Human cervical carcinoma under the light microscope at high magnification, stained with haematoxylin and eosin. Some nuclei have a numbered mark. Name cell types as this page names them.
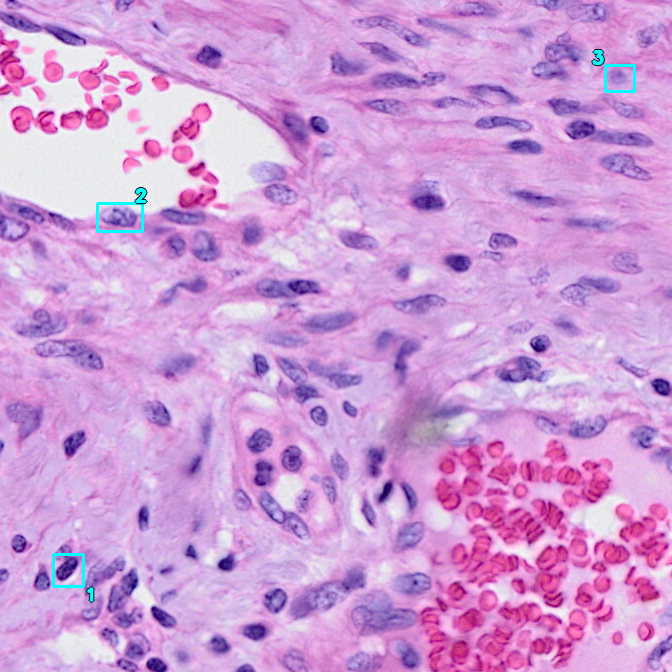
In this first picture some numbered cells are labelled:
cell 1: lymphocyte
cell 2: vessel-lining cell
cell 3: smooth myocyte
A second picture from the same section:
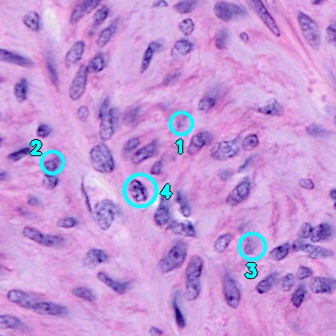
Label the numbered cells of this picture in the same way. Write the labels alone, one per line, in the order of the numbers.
smooth myocyte
smooth myocyte
smooth myocyte
lymphocyte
